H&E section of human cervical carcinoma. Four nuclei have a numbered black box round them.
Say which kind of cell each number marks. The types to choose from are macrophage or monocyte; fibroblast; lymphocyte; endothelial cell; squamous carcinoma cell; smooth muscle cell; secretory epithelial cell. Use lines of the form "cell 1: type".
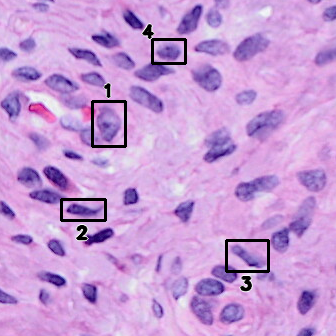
cell 1: endothelial cell
cell 2: fibroblast
cell 3: fibroblast
cell 4: fibroblast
